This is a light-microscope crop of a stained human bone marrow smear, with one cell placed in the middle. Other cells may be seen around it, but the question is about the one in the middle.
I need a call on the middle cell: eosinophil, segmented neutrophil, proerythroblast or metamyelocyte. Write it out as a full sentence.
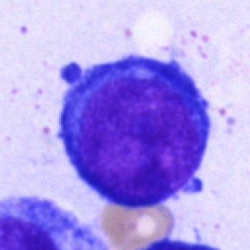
The cell positioned in the middle of the field is a proerythroblast.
